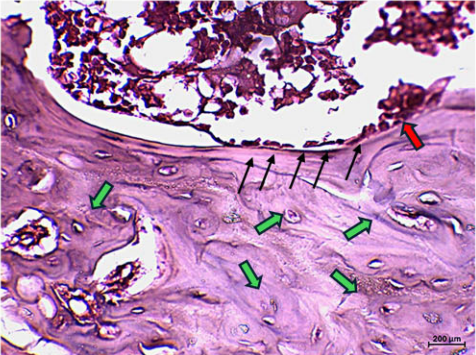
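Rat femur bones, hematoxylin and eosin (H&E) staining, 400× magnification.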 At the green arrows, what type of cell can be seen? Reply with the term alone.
Osteocytes.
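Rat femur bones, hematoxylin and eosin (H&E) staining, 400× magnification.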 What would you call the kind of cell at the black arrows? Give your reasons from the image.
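Osteoblasts. The black arrows point to a row of cells along the bone surface bordering the marrow space.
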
